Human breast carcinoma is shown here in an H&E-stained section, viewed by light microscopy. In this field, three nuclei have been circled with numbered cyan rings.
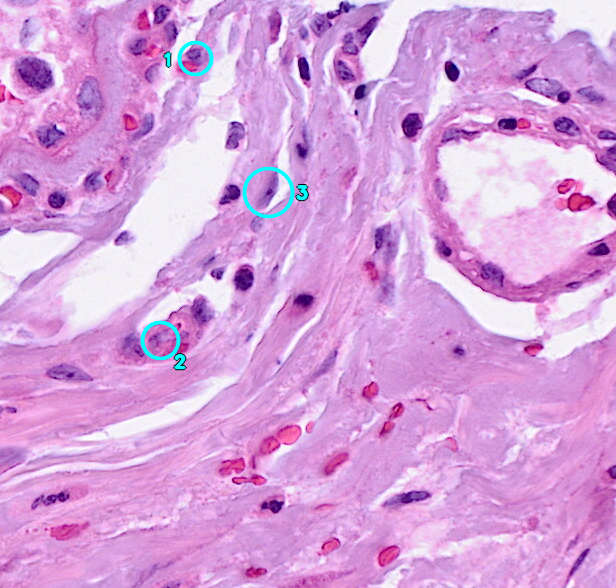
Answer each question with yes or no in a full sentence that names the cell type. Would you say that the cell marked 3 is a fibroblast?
Yes, the cell given number 3 is a fibroblast.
